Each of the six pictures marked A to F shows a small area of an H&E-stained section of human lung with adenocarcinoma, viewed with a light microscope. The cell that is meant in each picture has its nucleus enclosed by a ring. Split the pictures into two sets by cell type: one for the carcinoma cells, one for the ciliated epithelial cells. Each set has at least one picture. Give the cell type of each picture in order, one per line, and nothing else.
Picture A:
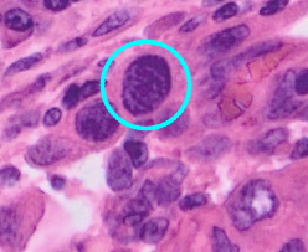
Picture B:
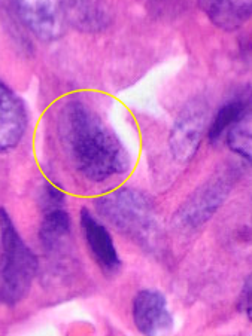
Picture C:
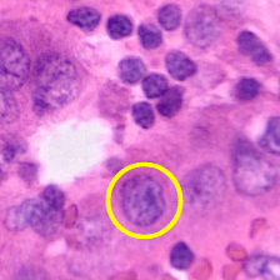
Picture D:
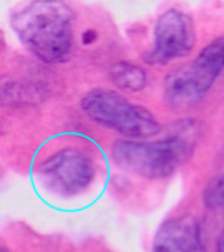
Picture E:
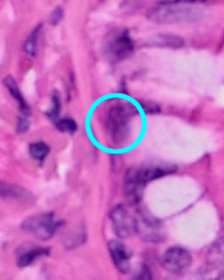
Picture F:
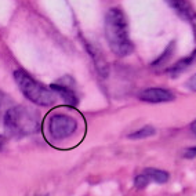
carcinoma cell
carcinoma cell
carcinoma cell
carcinoma cell
ciliated epithelial cell
ciliated epithelial cell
